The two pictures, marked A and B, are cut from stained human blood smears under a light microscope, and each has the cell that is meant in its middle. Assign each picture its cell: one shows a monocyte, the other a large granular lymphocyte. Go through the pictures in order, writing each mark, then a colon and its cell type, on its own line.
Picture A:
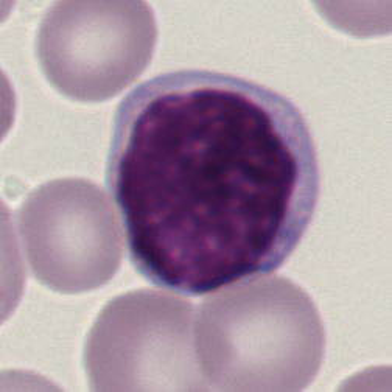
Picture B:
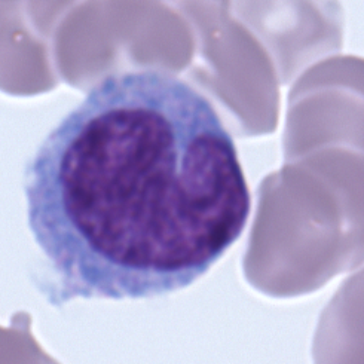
A: large granular lymphocyte
B: monocyte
